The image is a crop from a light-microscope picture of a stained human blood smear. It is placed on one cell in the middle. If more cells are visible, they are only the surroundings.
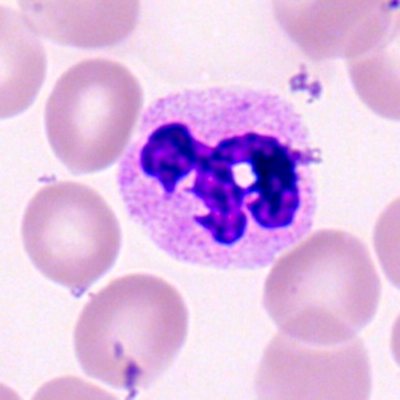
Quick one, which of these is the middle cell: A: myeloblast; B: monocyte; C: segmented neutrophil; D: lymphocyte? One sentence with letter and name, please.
The correct choice is option C, which identifies the middle cell as a segmented neutrophil.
